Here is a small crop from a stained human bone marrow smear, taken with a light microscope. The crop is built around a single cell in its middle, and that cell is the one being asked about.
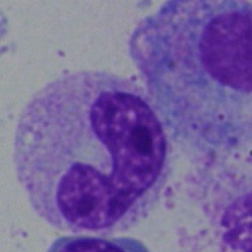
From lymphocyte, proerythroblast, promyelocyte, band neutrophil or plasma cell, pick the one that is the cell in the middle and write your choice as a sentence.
In this crop, the cell at the very middle is a band neutrophil.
